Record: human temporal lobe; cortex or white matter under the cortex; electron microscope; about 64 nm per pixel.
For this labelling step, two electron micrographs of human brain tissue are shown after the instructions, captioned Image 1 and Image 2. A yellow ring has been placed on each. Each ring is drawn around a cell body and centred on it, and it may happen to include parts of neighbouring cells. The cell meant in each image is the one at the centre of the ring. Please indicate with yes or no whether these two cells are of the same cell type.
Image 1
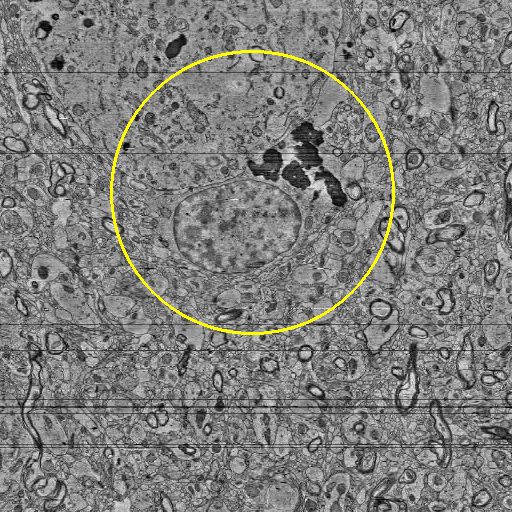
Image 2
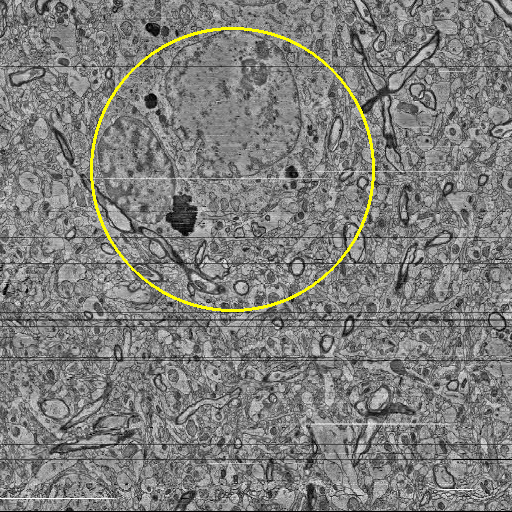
no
